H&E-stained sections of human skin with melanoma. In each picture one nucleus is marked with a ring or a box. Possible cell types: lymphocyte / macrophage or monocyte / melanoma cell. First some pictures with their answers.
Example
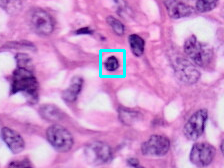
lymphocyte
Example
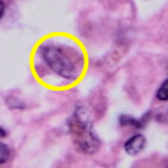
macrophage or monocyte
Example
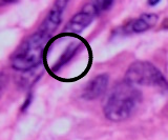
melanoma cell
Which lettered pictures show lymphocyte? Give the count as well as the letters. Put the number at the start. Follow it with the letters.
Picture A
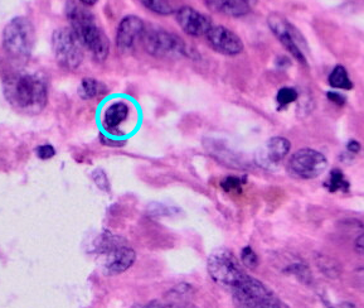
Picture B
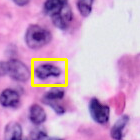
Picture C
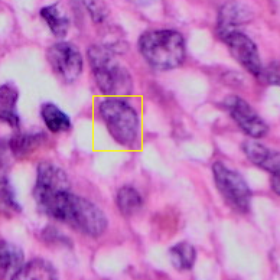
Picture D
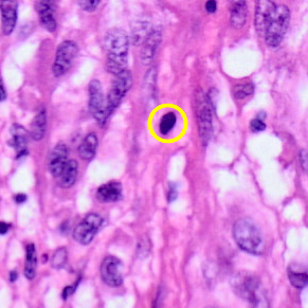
Count: 3 (A, B, D)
